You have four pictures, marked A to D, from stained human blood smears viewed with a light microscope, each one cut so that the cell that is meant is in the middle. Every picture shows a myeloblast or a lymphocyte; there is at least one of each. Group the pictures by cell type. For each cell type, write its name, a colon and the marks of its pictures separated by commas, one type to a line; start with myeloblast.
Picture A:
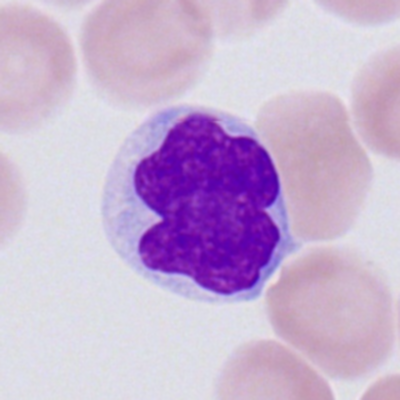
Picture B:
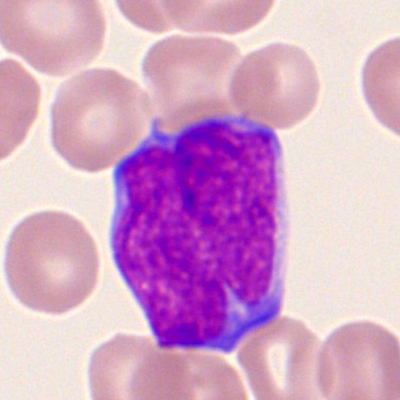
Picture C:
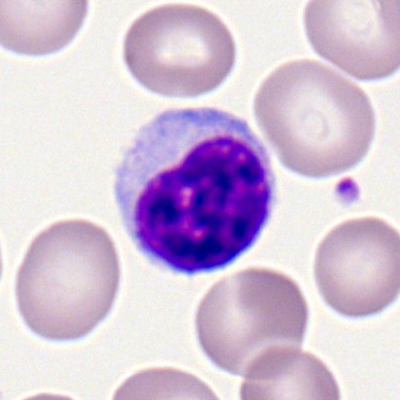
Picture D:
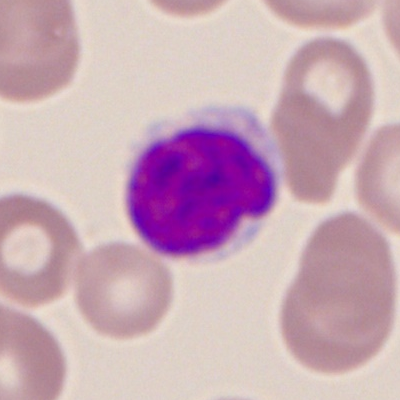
myeloblast: B
lymphocyte: A, C, D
